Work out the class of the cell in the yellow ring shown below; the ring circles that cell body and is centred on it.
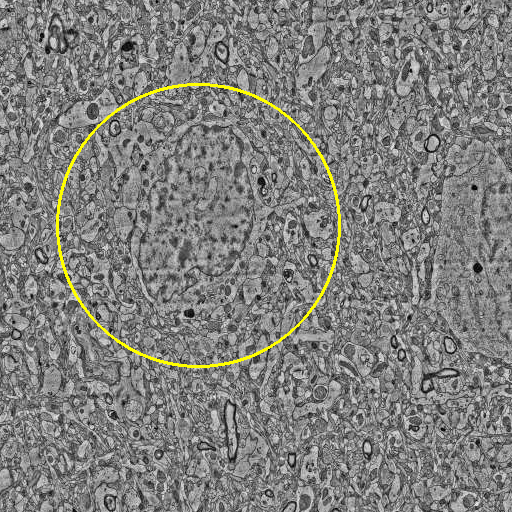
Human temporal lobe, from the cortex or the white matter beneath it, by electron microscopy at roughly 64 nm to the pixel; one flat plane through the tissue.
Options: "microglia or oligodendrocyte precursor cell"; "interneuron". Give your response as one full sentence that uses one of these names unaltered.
The body ringed in yellow, right at the ring's centre, is that of an interneuron.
